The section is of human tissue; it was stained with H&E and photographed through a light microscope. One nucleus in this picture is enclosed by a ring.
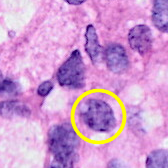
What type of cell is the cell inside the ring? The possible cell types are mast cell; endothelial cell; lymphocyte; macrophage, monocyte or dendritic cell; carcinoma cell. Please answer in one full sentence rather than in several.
As to its cell type, the cell inside the ring is a carcinoma cell.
